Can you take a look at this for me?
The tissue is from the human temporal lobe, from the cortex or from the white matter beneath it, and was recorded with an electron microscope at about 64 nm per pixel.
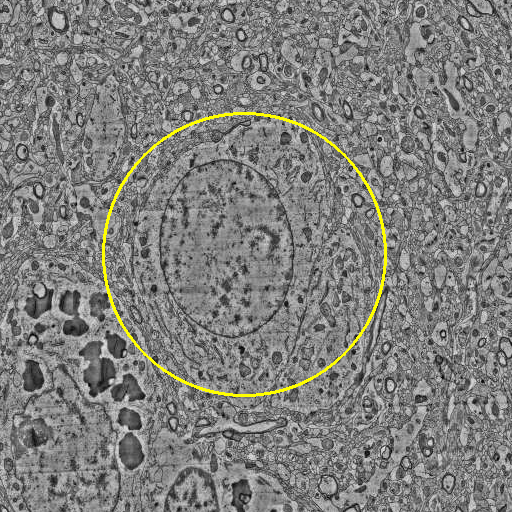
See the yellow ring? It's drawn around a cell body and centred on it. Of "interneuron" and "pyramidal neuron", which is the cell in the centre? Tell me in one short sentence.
The one in the centre is a pyramidal neuron.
